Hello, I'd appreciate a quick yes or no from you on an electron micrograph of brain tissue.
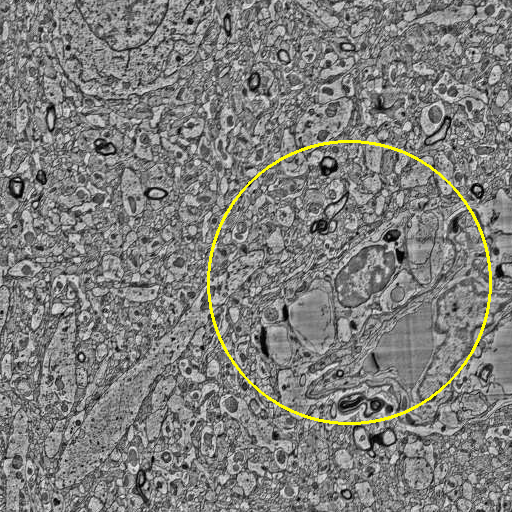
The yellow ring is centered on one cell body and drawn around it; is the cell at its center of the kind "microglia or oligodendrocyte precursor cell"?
yes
